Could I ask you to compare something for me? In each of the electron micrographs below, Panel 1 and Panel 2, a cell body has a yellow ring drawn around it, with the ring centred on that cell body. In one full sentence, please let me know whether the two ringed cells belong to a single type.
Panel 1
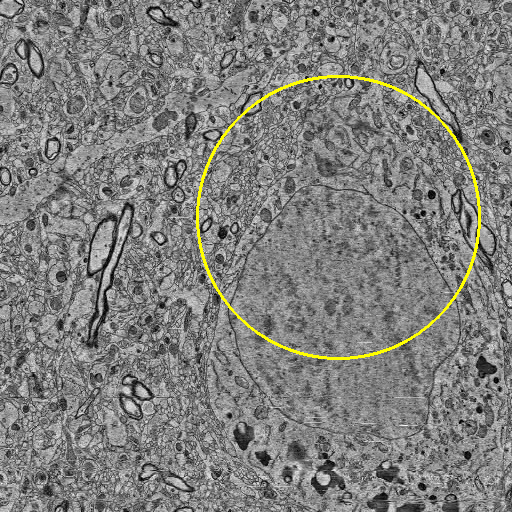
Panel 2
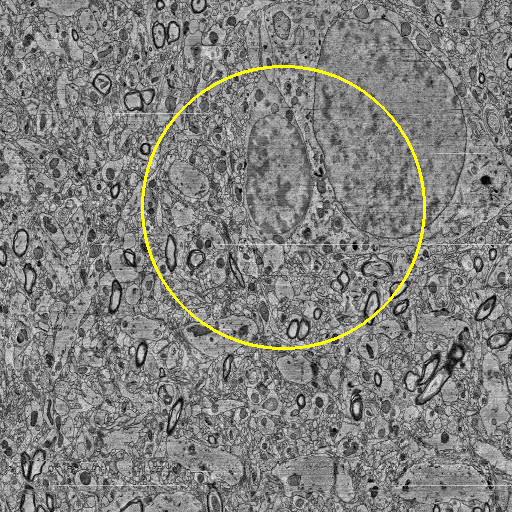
No, the two cells at the centres of the rings are of two types.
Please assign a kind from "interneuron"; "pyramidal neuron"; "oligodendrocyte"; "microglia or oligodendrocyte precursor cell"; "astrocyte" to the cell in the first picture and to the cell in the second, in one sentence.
In the first picture we have a pyramidal neuron, and in the second, an oligodendrocyte.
